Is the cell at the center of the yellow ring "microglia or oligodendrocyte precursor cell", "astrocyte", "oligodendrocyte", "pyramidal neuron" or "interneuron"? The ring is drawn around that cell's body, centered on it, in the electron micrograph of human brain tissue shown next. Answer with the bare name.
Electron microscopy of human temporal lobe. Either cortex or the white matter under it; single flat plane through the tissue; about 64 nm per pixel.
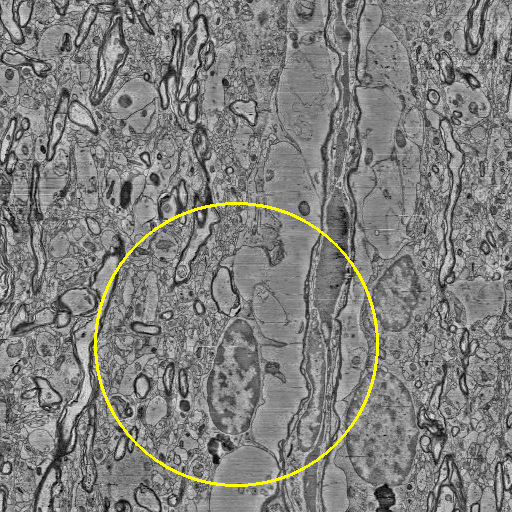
microglia or oligodendrocyte precursor cell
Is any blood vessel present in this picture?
Yes, one shows.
